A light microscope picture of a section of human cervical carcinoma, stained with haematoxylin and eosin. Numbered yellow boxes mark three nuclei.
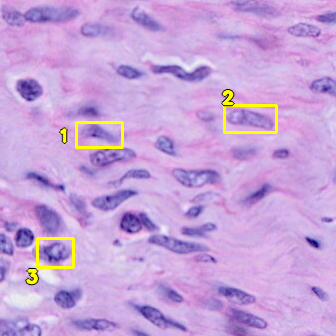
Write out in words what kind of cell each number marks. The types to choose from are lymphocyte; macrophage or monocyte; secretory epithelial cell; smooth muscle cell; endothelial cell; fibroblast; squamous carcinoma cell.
Cells 1 and 2 are smooth muscle cells. Cell 3 is an endothelial cell.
